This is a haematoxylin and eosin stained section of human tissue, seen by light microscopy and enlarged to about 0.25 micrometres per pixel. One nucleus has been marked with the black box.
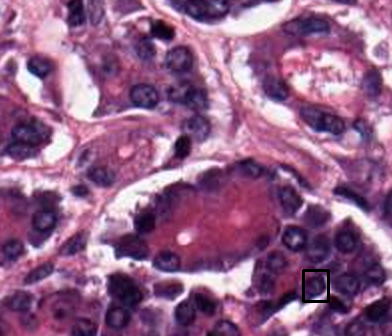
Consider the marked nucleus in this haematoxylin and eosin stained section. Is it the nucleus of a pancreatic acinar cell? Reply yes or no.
yes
